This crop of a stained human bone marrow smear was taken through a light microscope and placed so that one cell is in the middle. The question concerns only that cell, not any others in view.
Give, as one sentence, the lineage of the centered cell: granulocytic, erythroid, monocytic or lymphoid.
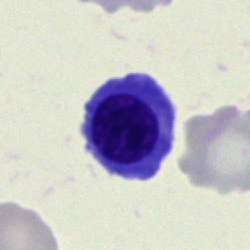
Under the erythroid lineage falls the cell in the middle of the crop.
